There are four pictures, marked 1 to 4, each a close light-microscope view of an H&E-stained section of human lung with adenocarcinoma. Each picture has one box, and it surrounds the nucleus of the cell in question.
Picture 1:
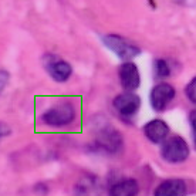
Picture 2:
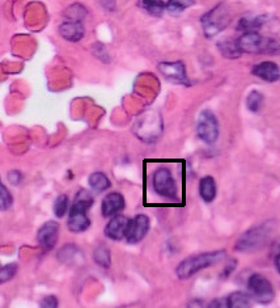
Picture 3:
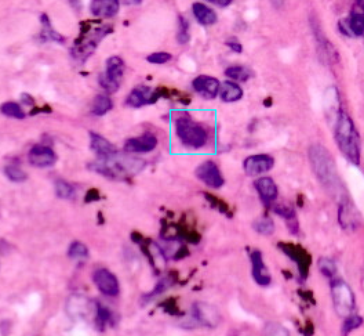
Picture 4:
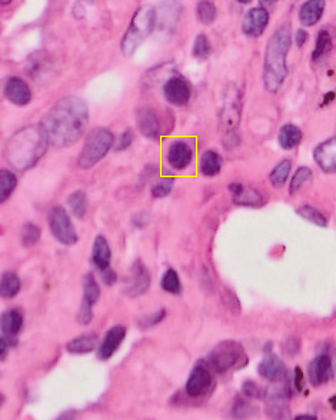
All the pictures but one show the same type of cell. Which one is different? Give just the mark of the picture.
4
